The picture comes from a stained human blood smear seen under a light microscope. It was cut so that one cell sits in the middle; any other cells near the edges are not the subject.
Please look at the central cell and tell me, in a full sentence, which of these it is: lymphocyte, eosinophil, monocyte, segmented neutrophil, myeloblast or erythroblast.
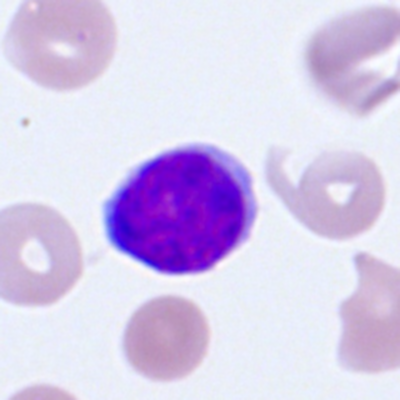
The cell around which this crop is centred is a lymphocyte.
